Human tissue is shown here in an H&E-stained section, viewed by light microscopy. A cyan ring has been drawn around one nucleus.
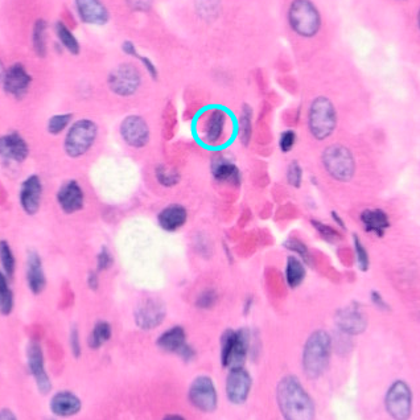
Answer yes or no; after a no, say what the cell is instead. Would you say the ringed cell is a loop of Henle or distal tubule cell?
No, it is an endothelial cell.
